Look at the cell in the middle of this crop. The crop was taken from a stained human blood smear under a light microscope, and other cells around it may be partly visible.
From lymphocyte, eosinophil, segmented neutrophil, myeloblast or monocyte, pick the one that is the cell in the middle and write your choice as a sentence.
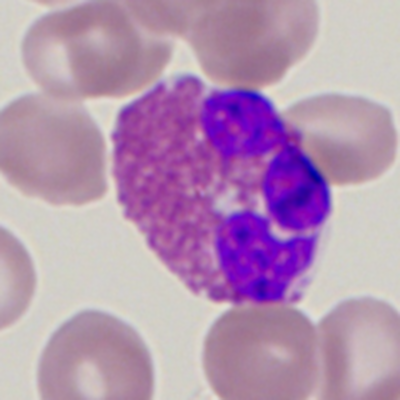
At the crop's centre, the cell is an eosinophil.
